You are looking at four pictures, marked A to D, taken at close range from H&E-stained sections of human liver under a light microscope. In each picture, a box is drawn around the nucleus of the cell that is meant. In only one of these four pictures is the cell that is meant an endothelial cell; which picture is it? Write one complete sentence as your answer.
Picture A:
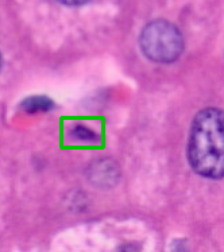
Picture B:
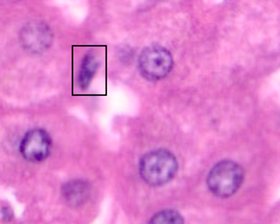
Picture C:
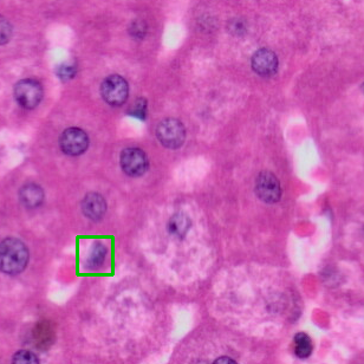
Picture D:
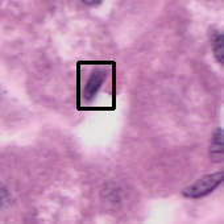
Picture C is the one that shows the endothelial cell.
